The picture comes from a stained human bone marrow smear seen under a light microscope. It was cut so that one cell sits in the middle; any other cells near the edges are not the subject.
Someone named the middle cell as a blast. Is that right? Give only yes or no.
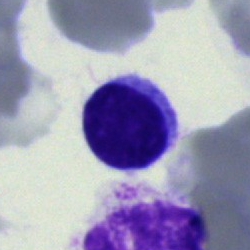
no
